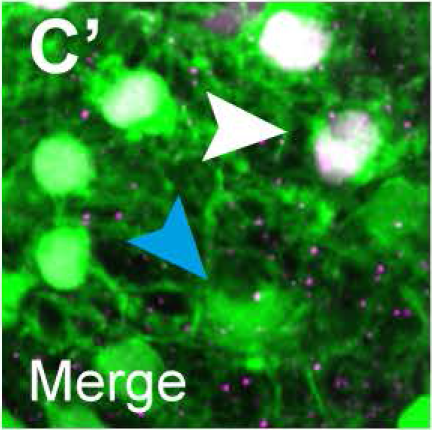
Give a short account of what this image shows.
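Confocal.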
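Some nuclei are both green and magenta and appear whitish, as at the white arrowhead. Other cells are green only, without magenta, as at the blue arrowhead, whose cell is dimmer and less sharply bounded. Small magenta dots are scattered across the background.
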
